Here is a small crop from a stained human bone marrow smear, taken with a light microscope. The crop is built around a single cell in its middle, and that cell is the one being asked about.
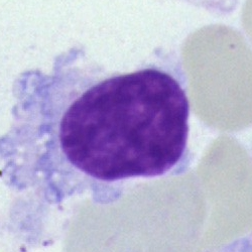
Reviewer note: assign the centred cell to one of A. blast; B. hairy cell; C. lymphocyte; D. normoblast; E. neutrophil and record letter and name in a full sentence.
In this crop the central cell is a hairy cell, which option B correctly states.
